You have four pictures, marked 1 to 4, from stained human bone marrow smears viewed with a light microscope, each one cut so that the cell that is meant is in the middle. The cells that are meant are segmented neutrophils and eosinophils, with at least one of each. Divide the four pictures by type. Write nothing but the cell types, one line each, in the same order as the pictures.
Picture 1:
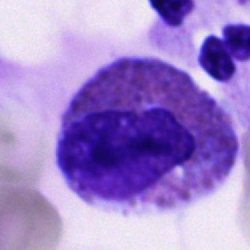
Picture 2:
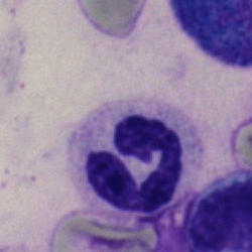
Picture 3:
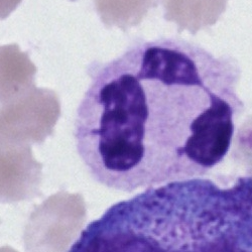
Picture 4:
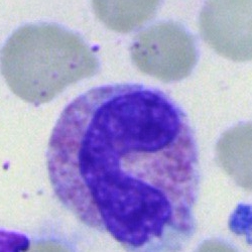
eosinophil
segmented neutrophil
segmented neutrophil
eosinophil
